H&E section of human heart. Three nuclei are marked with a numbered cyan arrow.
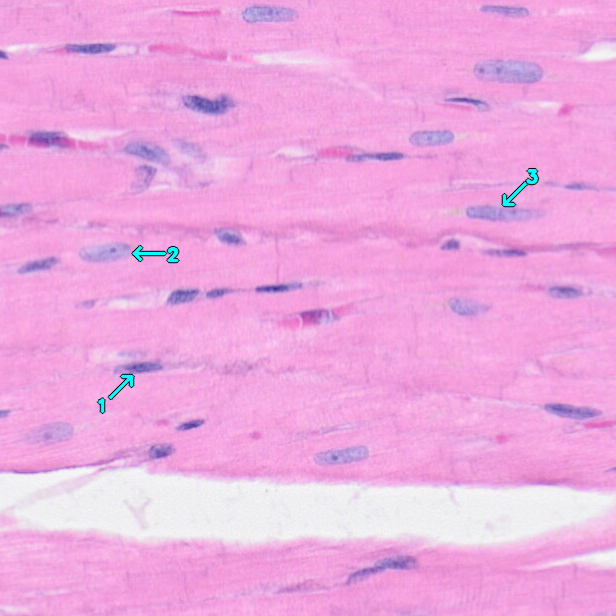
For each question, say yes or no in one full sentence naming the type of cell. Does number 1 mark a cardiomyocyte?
No, an endothelial cell is what cell 1 is, not a cardiomyocyte.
